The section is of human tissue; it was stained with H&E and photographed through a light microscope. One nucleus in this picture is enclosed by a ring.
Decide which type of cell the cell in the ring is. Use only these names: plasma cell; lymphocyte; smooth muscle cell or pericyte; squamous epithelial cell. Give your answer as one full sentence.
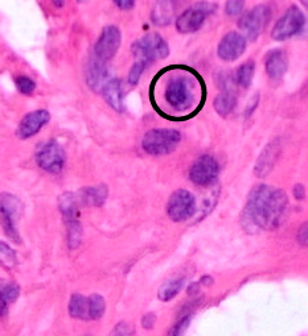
Within the stained tissue, the cell in the ring is a plasma cell.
